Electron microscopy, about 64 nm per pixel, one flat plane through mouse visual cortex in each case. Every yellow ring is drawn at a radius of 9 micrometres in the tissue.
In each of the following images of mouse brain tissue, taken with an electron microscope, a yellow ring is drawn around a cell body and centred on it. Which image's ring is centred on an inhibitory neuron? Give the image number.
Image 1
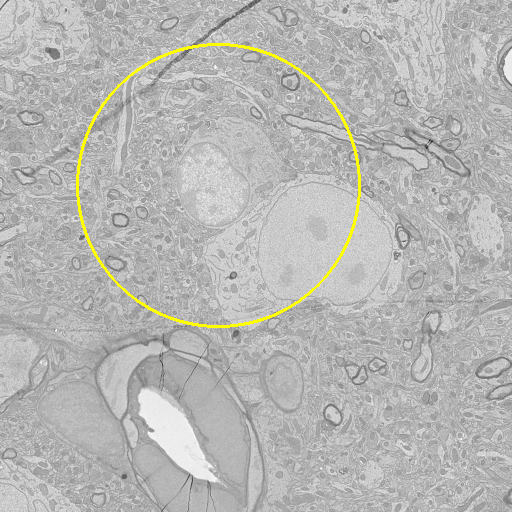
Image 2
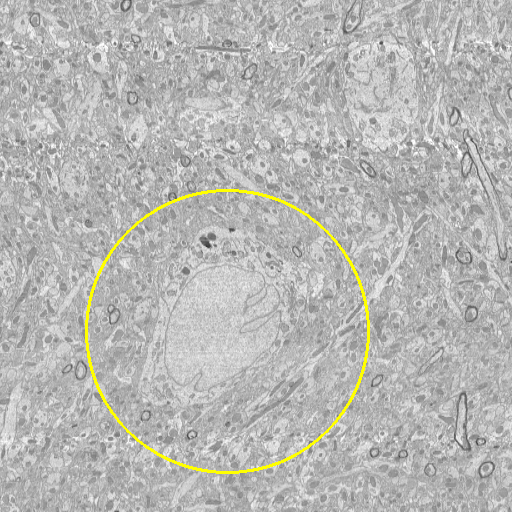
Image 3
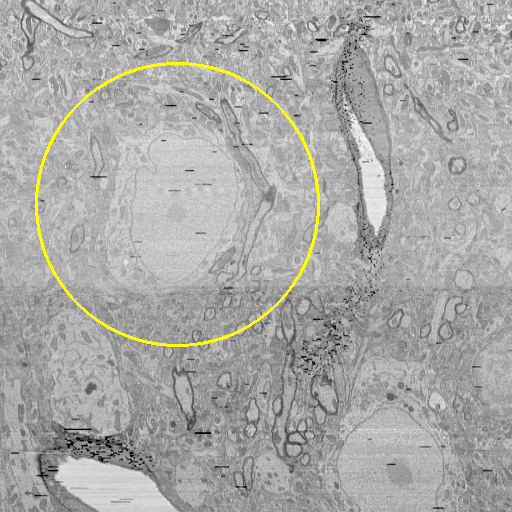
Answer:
2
